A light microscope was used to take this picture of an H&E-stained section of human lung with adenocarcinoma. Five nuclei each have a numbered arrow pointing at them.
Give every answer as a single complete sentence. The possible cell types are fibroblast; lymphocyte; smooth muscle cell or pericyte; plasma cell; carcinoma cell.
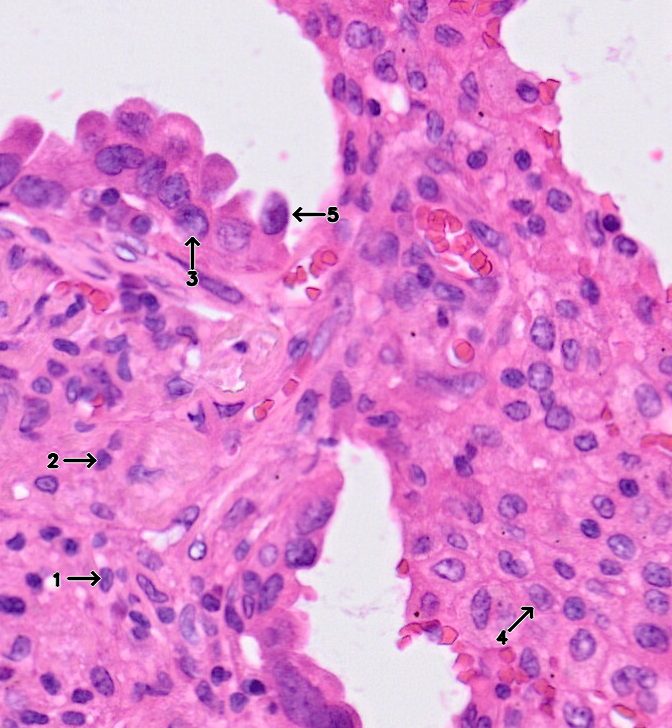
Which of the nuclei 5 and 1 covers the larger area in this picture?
Nucleus 5 covers more area, about 3 times as much as nucleus 1.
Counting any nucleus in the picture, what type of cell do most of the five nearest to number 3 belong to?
Around number 3, most of the five nearest nuclei are those of carcinoma cells.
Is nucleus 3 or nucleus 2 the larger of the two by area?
Nucleus 3 covers more area, about 2.5 times as much as nucleus 2.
